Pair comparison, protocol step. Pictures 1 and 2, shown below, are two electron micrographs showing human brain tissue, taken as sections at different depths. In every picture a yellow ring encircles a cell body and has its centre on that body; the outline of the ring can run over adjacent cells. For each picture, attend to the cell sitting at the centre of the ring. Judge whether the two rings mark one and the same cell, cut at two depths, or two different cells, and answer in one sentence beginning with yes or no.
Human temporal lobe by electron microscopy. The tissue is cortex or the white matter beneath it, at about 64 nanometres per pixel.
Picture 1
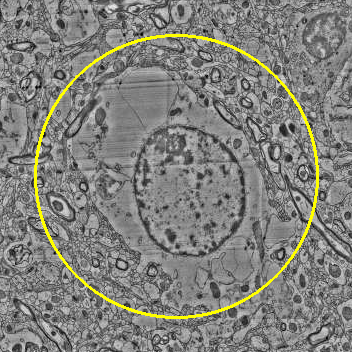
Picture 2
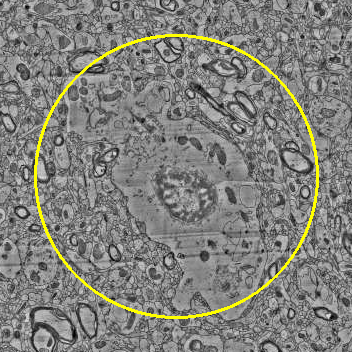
Yes, the same cell has been marked in both yellow rings.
